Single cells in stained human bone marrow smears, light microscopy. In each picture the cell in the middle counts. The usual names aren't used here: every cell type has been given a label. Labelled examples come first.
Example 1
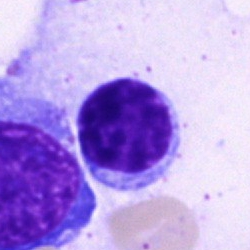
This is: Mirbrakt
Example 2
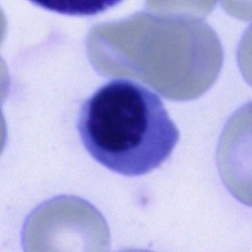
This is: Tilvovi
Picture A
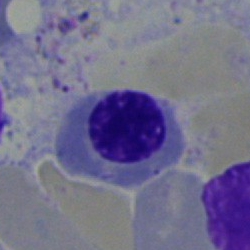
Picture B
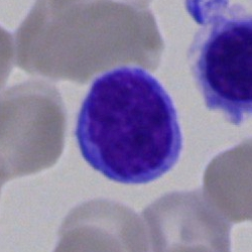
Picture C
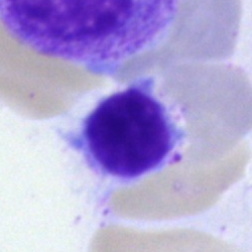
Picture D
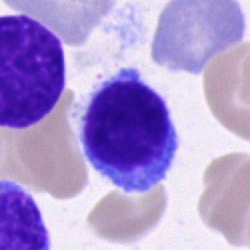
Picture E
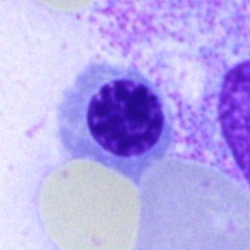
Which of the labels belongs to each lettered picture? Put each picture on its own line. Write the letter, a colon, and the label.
A: Tilvovi
B: Mirbrakt
C: Mirbrakt
D: Mirbrakt
E: Tilvovi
